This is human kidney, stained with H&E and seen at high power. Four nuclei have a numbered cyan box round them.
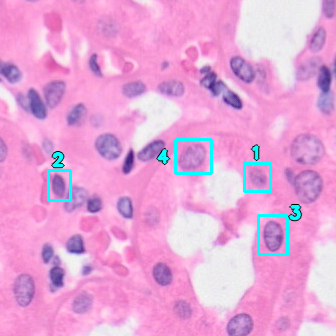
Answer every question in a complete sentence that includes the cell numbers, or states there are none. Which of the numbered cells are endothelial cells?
Only at number 2 is there an endothelial cell.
